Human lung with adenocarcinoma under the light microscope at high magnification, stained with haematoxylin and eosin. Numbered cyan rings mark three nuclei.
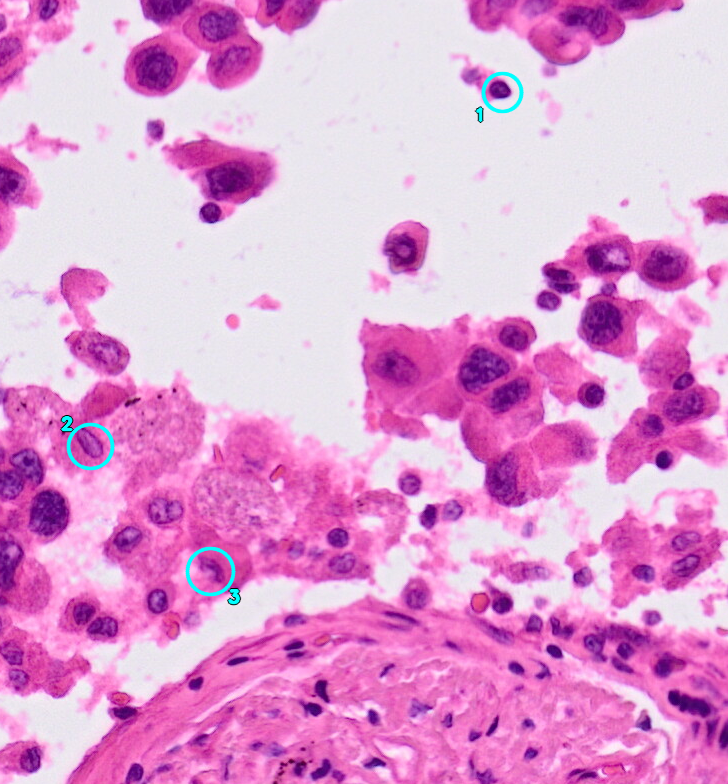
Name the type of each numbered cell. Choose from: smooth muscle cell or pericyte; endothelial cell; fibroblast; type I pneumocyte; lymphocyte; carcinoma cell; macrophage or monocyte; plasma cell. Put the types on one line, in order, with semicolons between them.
lymphocyte; macrophage or monocyte; macrophage or monocyte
